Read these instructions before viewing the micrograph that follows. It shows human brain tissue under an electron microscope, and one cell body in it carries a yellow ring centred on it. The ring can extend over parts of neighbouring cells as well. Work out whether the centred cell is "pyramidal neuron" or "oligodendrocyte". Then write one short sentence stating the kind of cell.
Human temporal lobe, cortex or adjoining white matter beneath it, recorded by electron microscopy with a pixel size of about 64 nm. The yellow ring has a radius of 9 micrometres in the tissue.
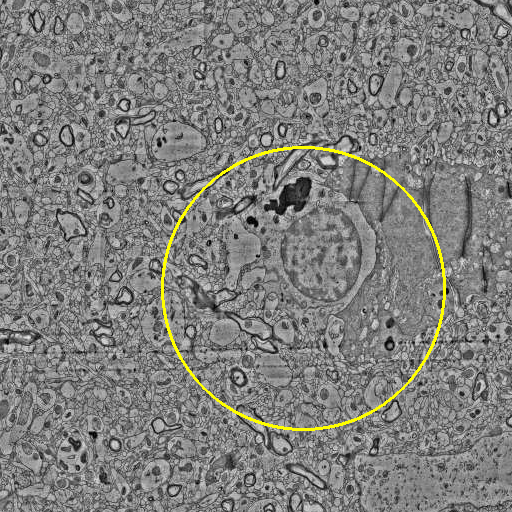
The ringed cell is an oligodendrocyte.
